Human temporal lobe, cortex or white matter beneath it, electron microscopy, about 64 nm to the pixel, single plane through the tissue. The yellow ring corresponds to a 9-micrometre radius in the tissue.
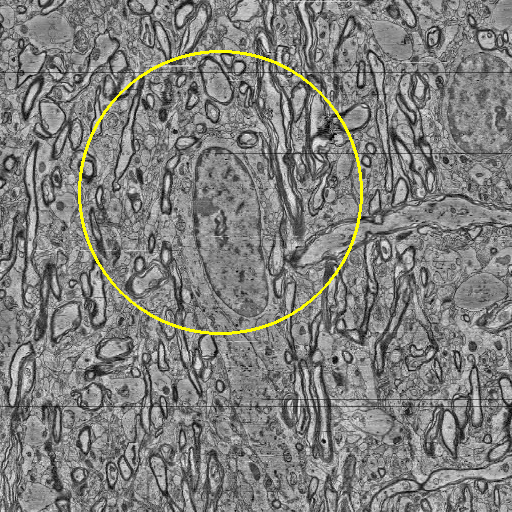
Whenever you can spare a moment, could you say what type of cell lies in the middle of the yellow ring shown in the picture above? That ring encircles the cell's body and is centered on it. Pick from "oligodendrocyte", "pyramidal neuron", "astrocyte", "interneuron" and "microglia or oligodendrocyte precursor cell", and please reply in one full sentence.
The cell whose body sits at the middle of the yellow ring is a microglial cell or oligodendrocyte precursor cell.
